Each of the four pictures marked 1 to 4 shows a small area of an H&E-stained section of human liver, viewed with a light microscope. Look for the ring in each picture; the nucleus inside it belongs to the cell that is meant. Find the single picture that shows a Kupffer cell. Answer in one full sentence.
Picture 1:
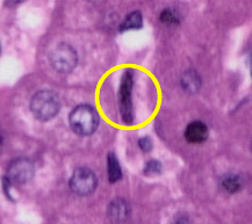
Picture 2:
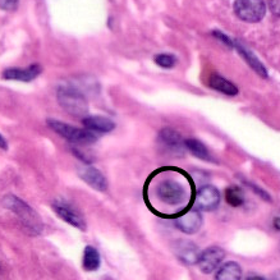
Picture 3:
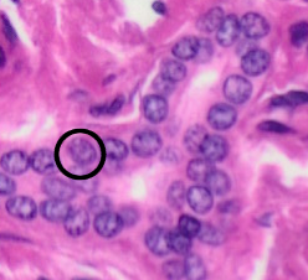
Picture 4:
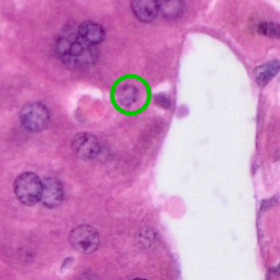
The picture with the Kupffer cell is 1.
